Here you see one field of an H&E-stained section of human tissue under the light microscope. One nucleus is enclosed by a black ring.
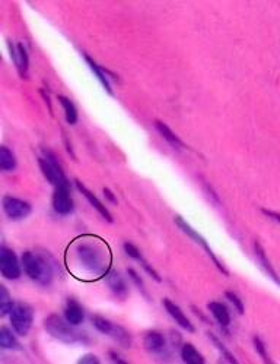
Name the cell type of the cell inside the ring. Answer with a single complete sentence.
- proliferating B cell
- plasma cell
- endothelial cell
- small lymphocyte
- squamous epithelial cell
Recorded by type, the cell inside the ring is an endothelial cell.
